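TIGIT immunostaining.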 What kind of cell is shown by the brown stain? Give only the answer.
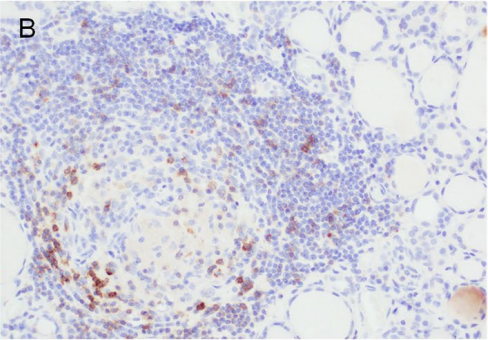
small lymphocytes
